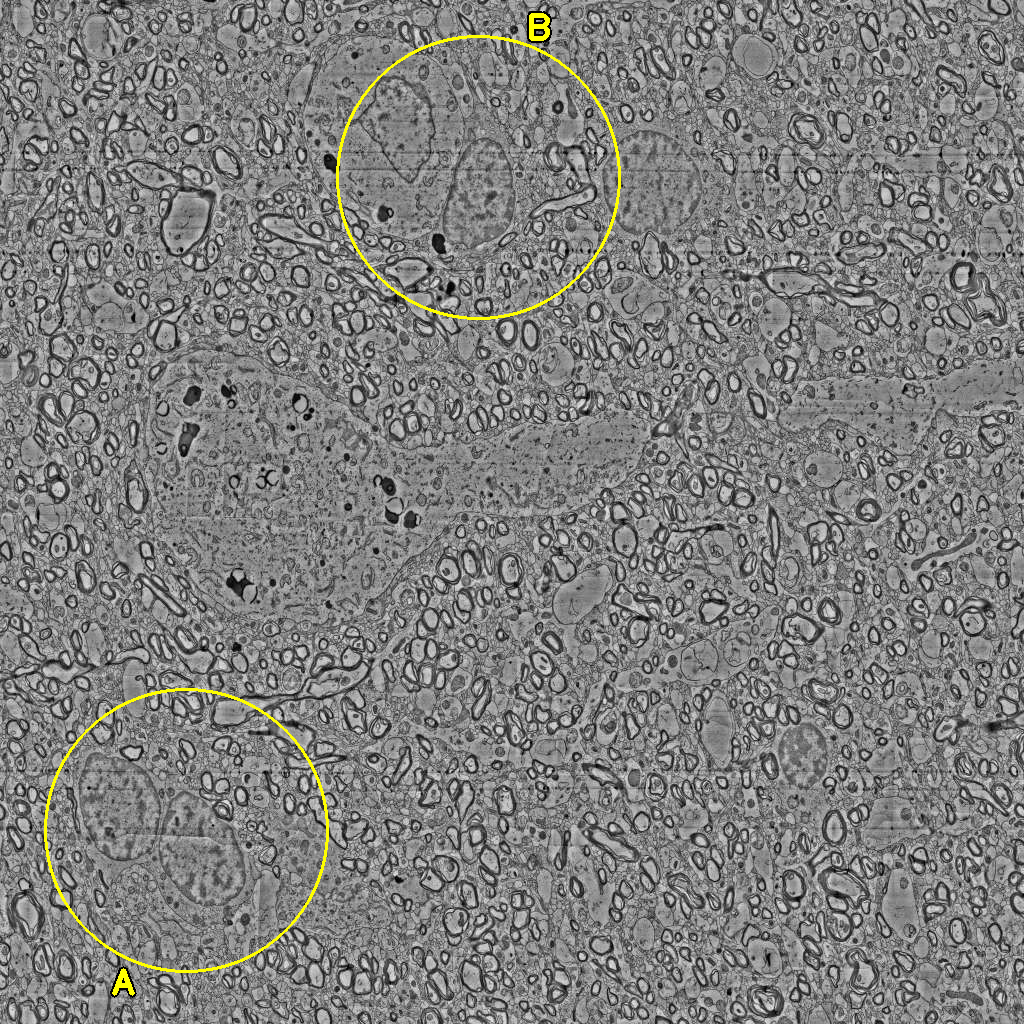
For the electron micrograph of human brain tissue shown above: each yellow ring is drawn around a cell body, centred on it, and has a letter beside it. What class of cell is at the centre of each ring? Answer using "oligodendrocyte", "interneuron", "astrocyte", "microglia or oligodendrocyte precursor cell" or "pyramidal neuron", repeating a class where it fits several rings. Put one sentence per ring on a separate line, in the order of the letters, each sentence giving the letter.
At ring A, the central cell is an oligodendrocyte.
At ring B, the central cell is an oligodendrocyte.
